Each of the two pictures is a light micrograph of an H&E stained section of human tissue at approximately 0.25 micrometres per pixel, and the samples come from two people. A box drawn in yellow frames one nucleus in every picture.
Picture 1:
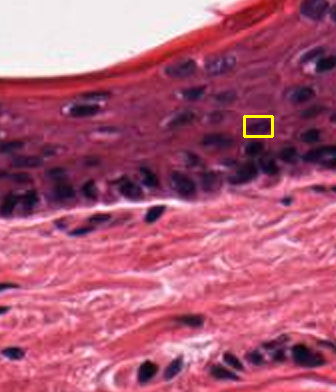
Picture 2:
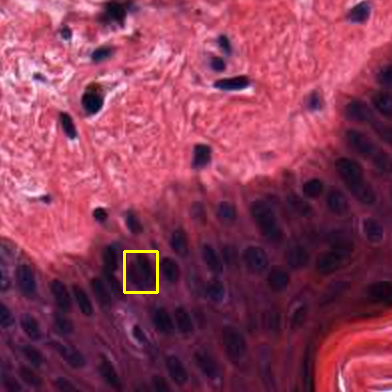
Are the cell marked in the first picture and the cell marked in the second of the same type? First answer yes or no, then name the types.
Yes, both are keratinocytes.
